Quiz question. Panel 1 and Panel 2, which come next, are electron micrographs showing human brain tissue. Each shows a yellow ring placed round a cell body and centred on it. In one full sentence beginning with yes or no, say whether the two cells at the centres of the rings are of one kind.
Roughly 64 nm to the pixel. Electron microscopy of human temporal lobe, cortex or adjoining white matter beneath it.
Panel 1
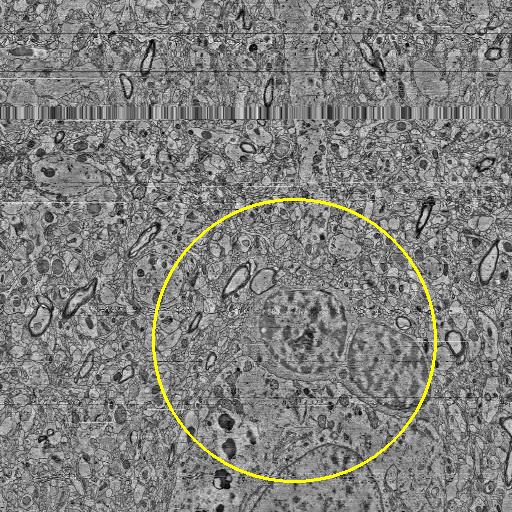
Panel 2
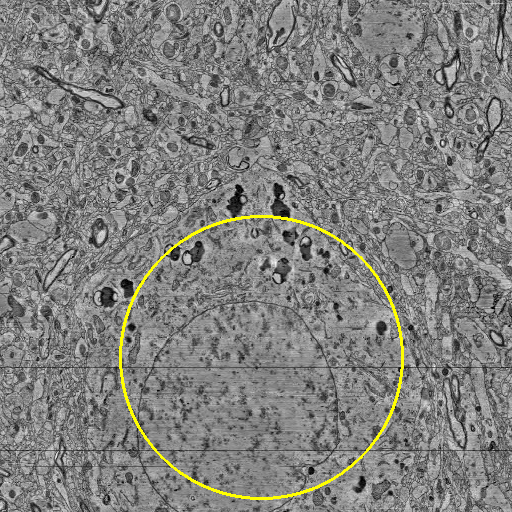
No, Panel 1 and Panel 2 show two kinds of cell at the centre of the ring.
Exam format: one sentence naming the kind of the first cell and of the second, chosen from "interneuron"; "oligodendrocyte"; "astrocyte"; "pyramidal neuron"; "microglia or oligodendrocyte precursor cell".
The first picture's cell is an oligodendrocyte, and the second picture's cell is a pyramidal neuron.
